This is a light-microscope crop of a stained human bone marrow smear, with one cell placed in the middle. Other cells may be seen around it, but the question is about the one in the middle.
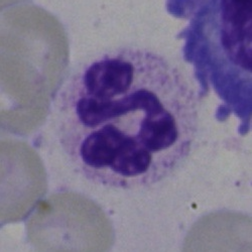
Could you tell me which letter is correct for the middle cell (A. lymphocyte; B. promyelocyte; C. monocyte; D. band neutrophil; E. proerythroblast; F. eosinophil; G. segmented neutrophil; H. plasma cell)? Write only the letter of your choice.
G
